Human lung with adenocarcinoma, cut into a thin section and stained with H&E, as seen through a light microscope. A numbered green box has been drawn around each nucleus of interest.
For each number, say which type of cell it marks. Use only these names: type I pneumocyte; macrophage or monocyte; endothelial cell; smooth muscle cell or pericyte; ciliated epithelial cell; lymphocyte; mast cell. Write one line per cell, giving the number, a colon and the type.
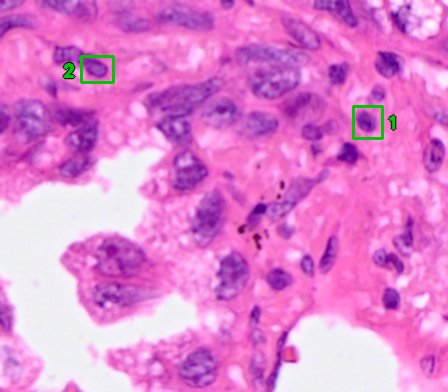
1: lymphocyte
2: mast cell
